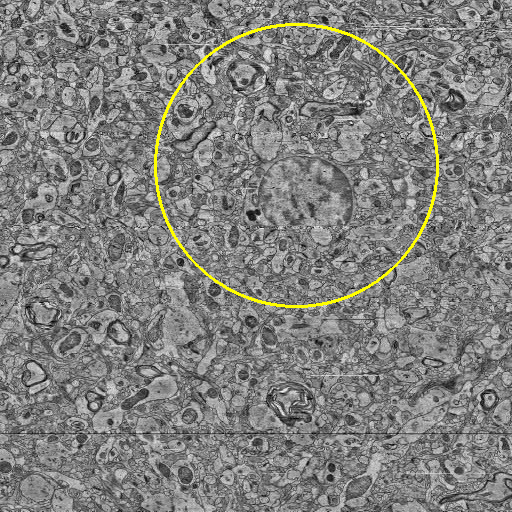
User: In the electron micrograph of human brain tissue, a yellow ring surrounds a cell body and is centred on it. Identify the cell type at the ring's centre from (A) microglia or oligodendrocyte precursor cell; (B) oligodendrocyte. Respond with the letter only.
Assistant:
B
